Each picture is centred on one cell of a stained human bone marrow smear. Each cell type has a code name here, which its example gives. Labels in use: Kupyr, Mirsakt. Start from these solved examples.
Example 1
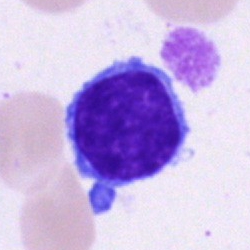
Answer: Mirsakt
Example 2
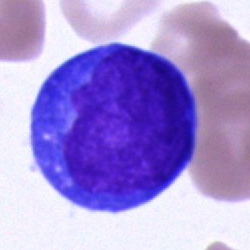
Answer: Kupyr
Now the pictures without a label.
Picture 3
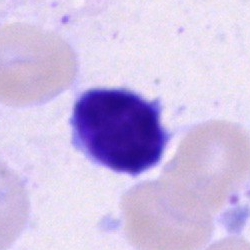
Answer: Mirsakt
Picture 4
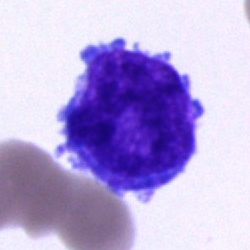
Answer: Kupyr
